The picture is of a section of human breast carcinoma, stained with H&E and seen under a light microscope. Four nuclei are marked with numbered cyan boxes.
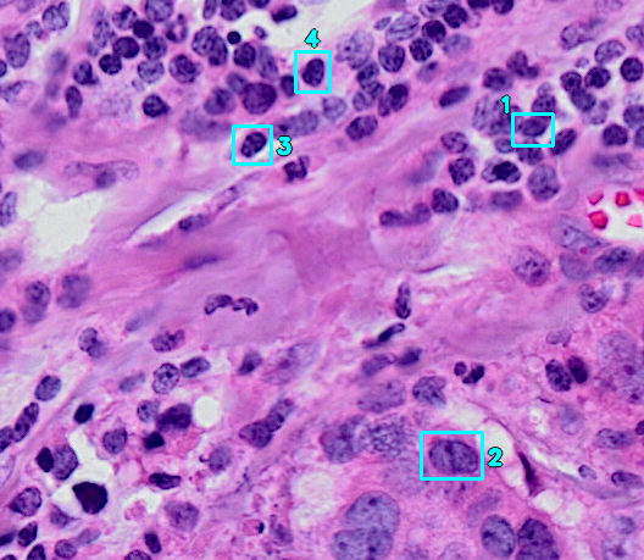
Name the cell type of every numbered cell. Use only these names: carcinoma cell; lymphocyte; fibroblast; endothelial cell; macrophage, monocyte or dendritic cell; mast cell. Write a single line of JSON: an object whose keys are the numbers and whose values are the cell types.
{"1": "lymphocyte", "2": "carcinoma cell", "3": "lymphocyte", "4": "lymphocyte"}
